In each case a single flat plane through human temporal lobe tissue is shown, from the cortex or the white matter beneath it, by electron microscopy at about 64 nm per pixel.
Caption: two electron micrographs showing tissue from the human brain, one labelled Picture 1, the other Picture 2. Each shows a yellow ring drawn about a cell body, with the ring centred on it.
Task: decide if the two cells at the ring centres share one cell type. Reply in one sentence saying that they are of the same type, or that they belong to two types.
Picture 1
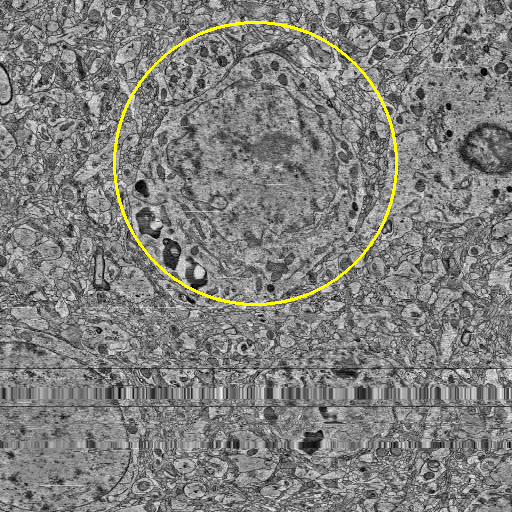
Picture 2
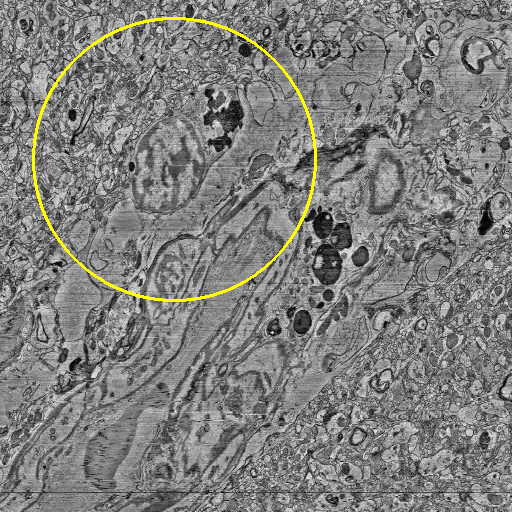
The cells at the ring centres in Picture 1 and Picture 2 belong to two types.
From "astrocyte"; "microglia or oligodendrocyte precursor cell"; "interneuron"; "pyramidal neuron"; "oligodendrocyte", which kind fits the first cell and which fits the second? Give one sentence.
The cell marked in the first picture is an interneuron, and the one marked in the second is an oligodendrocyte.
